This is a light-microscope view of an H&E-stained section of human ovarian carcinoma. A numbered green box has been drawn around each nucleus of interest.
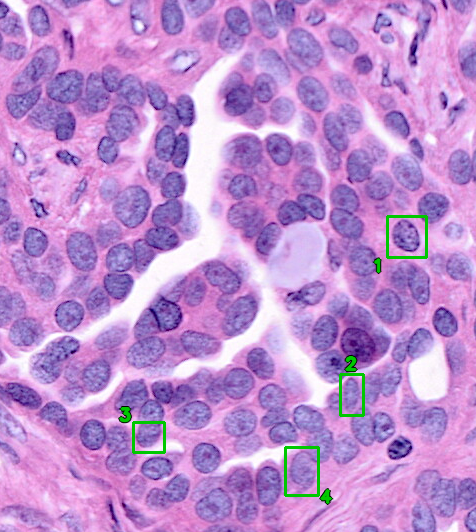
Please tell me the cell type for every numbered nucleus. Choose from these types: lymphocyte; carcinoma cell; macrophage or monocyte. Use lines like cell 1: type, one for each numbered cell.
cell 1: macrophage or monocyte
cell 2: carcinoma cell
cell 3: carcinoma cell
cell 4: carcinoma cell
